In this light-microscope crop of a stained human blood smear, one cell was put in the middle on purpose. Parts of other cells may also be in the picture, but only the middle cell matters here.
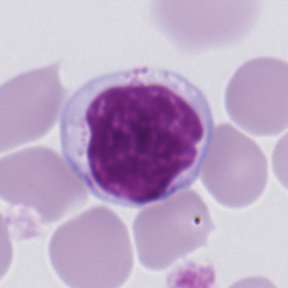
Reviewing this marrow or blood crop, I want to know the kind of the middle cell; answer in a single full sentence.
The cell at the centre of the field is a large granular lymphocyte.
